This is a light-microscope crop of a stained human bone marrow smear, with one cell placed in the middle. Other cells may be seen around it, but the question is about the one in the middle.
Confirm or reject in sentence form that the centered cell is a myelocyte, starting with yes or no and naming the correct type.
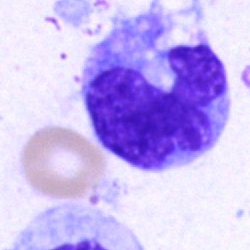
No, the cell in the middle is not a myelocyte but a monocyte.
